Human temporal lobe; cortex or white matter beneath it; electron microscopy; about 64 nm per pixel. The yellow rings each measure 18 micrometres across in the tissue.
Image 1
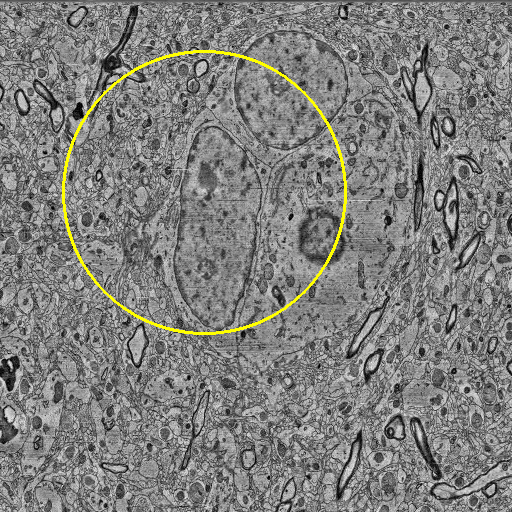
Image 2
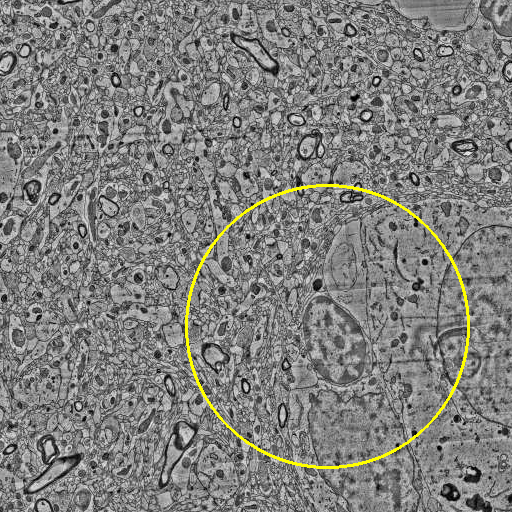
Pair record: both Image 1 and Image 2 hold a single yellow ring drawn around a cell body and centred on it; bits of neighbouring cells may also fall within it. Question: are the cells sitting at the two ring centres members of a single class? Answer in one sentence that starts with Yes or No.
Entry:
Yes, both ring-centre cells in Image 1 and Image 2 are members of one class.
